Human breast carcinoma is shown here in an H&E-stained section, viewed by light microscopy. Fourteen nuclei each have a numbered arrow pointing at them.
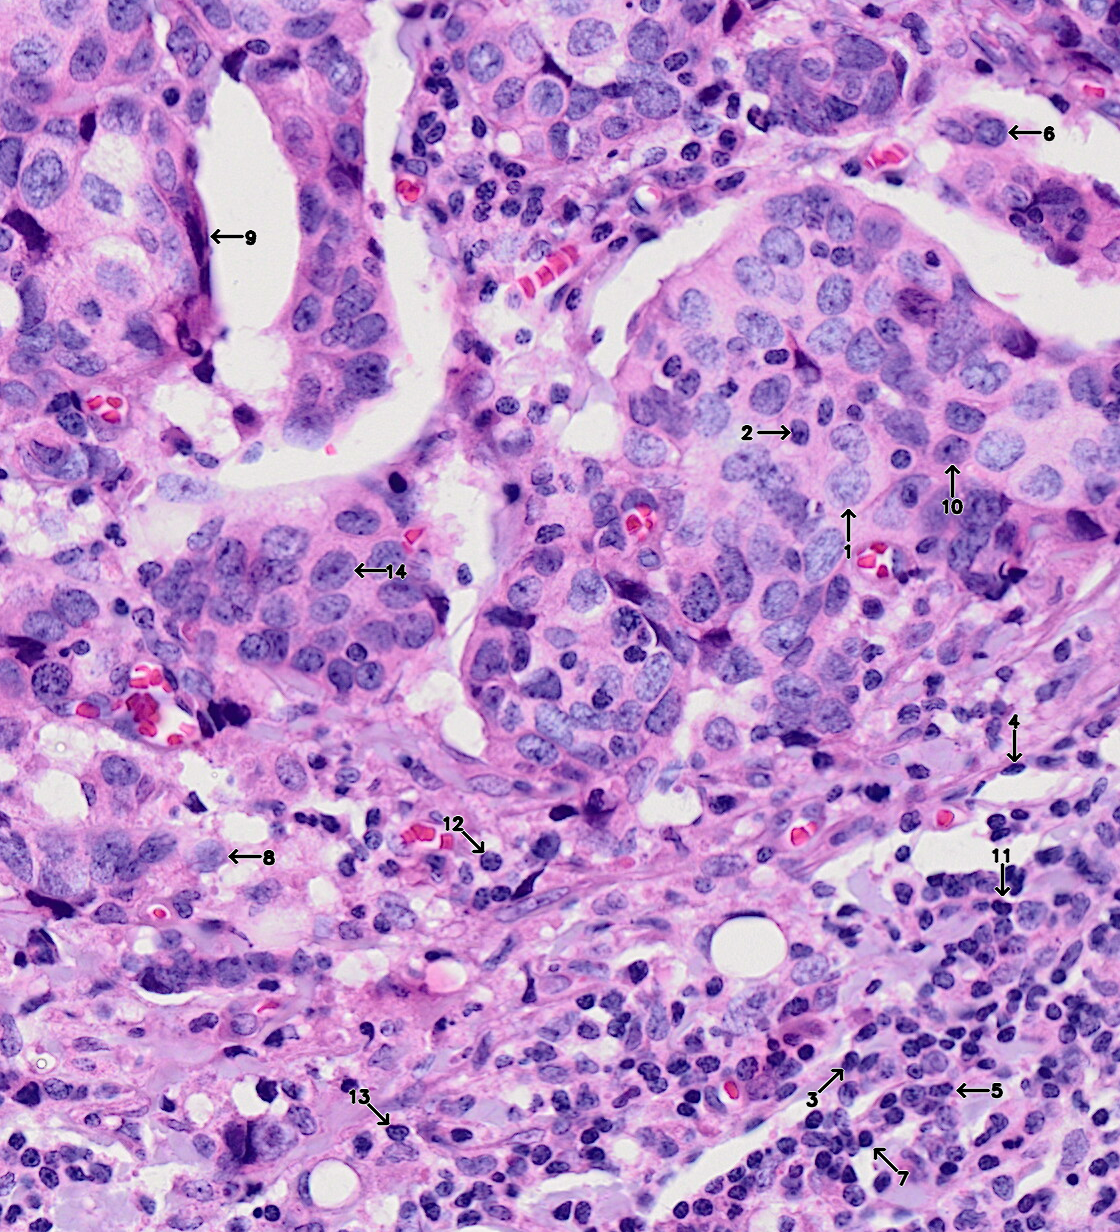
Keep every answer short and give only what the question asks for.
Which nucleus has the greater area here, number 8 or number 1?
1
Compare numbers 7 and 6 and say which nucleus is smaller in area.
7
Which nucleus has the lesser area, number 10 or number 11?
11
